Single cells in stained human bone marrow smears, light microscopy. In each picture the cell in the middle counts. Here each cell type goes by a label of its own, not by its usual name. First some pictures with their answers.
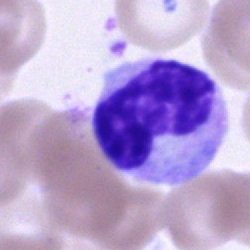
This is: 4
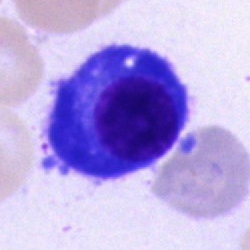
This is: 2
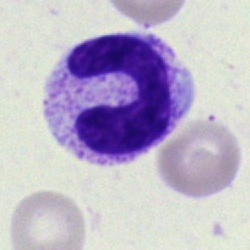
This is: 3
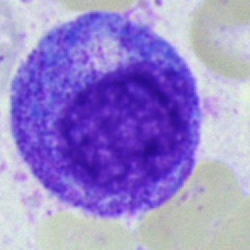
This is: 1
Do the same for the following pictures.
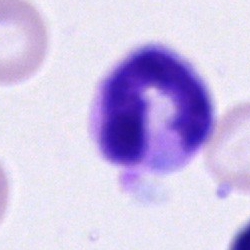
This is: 3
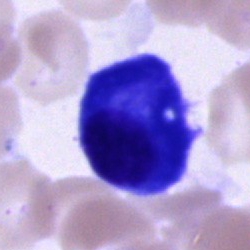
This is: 2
